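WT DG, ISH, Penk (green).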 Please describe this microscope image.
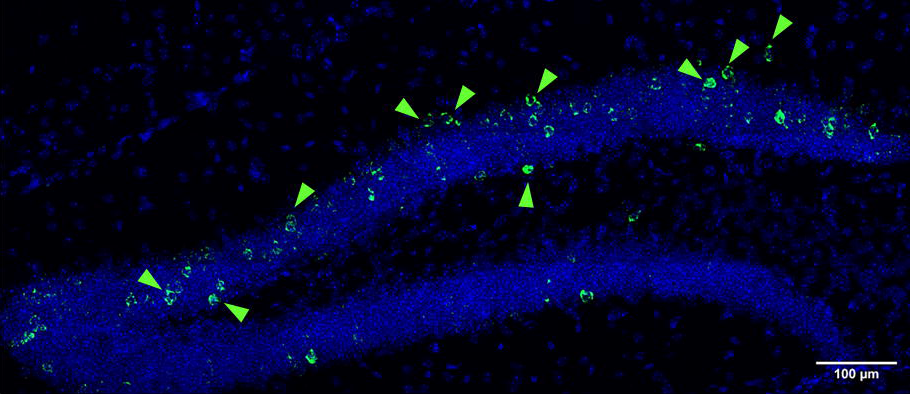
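A V-shaped pair of dense bands of tightly packed blue nuclei forms the two blades of the dentate gyrus cell layer, with only sparse nuclei in the tissue around and between them. Green arrowheads point to several of these labelled cells, which are about the size of the neighbouring nuclei and lie spaced apart rather than in clusters.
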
